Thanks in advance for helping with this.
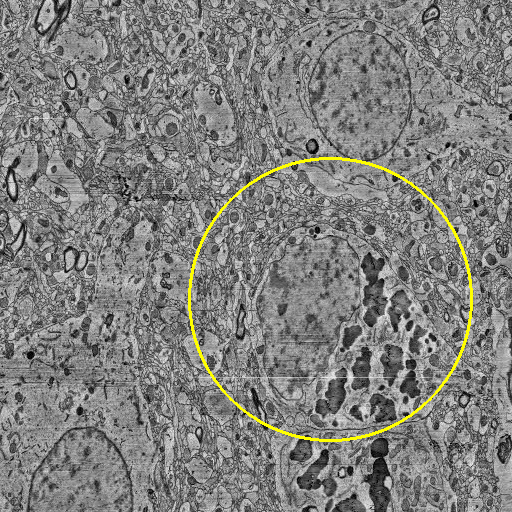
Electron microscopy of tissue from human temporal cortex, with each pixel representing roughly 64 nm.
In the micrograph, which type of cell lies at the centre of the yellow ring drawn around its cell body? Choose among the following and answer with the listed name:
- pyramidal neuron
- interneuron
interneuron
